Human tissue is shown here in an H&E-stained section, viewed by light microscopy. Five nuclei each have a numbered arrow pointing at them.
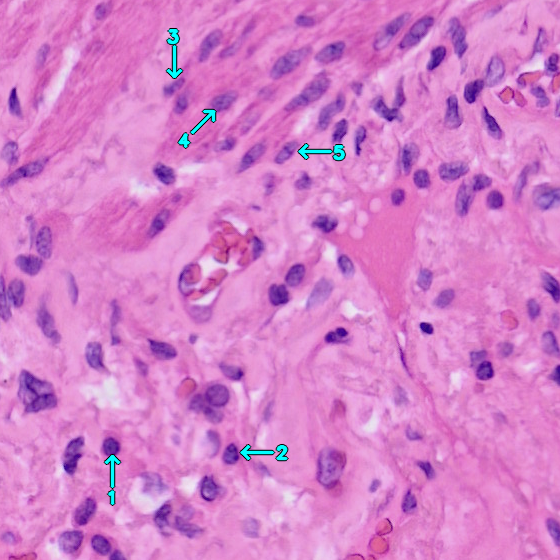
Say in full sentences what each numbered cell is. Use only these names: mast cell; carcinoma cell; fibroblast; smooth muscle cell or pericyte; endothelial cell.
Cell 1 is a mast cell, cell 2 is a mast cell, cell 3 is a smooth muscle cell or pericyte, cell 4 is a smooth muscle cell or pericyte and cell 5 is a smooth muscle cell or pericyte.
